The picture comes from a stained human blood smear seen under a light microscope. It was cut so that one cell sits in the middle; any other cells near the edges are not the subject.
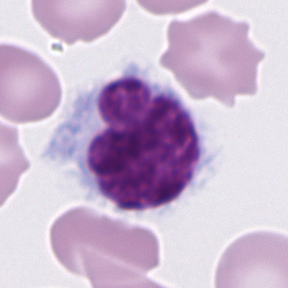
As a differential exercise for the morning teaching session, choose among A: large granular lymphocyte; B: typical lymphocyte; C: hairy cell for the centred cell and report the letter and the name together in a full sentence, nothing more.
The central cell in this crop is a hairy cell, corresponding to option C, the correct option.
